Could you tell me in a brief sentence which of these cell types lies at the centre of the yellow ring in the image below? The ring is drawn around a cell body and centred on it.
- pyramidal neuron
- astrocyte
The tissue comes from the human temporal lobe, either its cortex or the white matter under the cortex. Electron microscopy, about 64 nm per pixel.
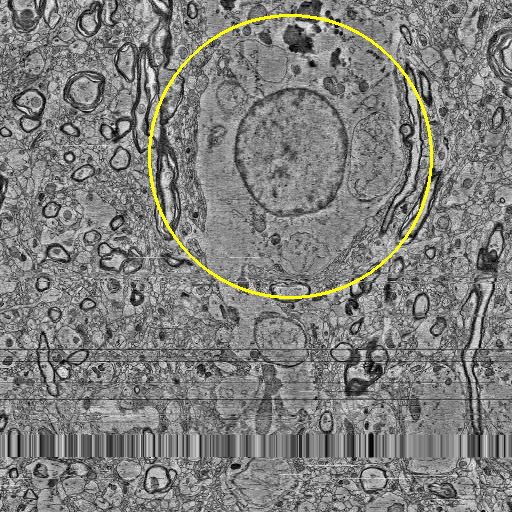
The cell centred in the ring is an astrocyte.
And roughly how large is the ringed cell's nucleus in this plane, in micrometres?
In this plane, the nucleus is roughly 8 by 7 micrometres.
